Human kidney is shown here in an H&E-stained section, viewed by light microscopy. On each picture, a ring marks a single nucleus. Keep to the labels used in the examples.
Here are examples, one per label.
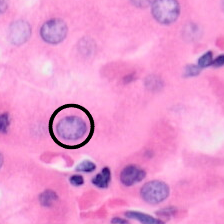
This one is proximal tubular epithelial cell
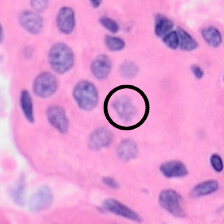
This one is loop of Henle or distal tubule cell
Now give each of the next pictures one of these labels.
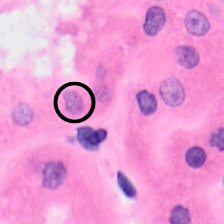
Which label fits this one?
proximal tubular epithelial cell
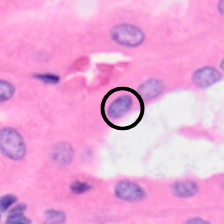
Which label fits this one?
loop of Henle or distal tubule cell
